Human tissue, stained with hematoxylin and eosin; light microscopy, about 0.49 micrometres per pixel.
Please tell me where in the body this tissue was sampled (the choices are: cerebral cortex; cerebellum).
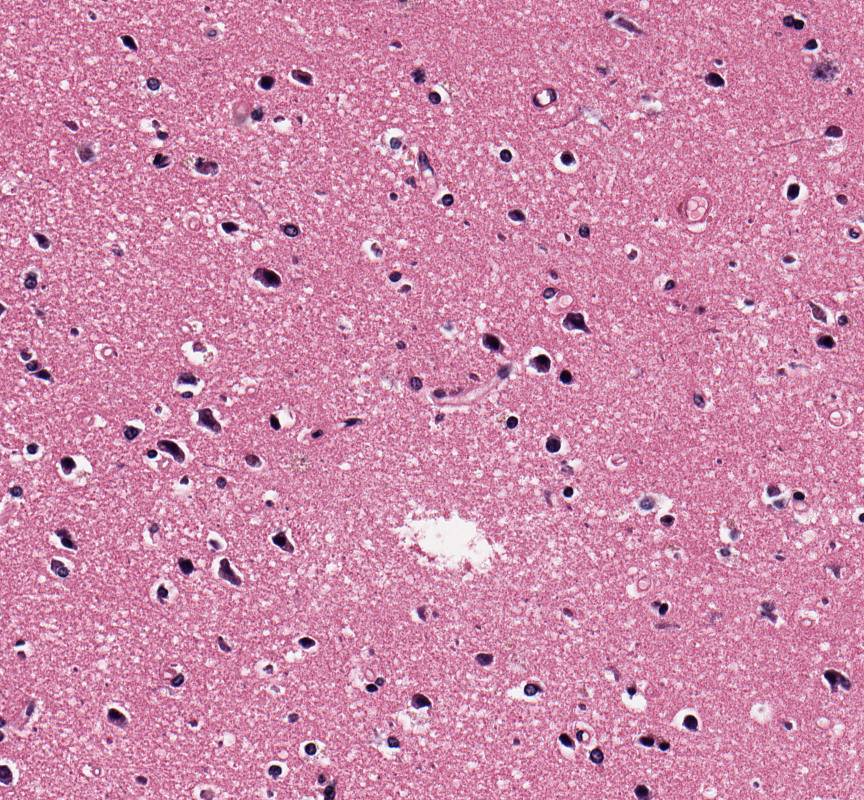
cerebral cortex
